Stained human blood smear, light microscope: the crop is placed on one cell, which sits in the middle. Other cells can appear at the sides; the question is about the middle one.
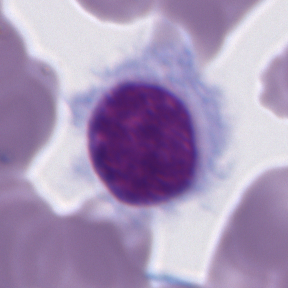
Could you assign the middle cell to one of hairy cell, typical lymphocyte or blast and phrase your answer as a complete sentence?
Centred in the crop is a hairy cell.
